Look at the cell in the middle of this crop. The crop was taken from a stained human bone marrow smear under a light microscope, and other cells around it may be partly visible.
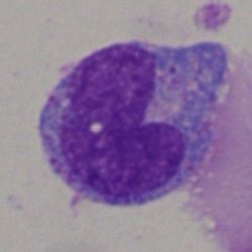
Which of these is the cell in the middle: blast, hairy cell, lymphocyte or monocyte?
monocyte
